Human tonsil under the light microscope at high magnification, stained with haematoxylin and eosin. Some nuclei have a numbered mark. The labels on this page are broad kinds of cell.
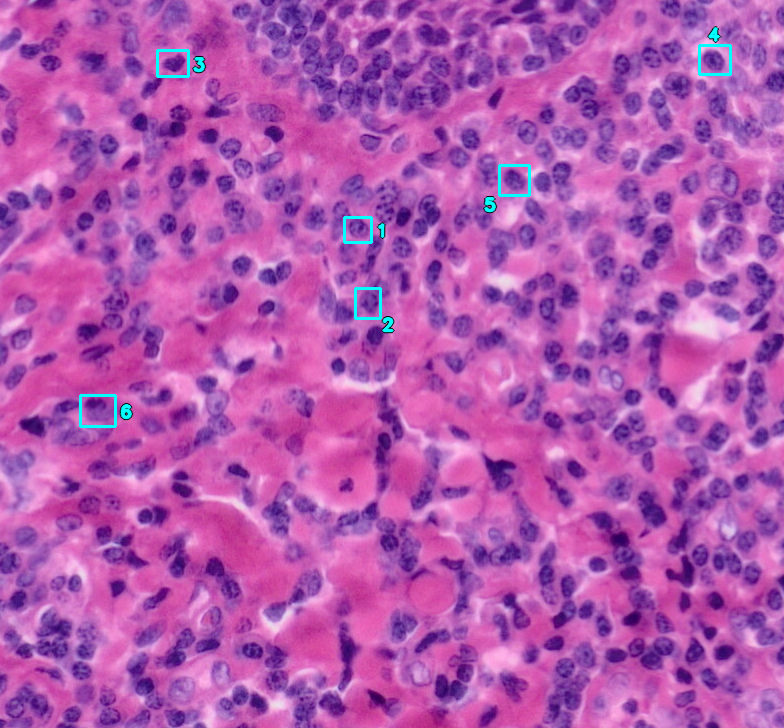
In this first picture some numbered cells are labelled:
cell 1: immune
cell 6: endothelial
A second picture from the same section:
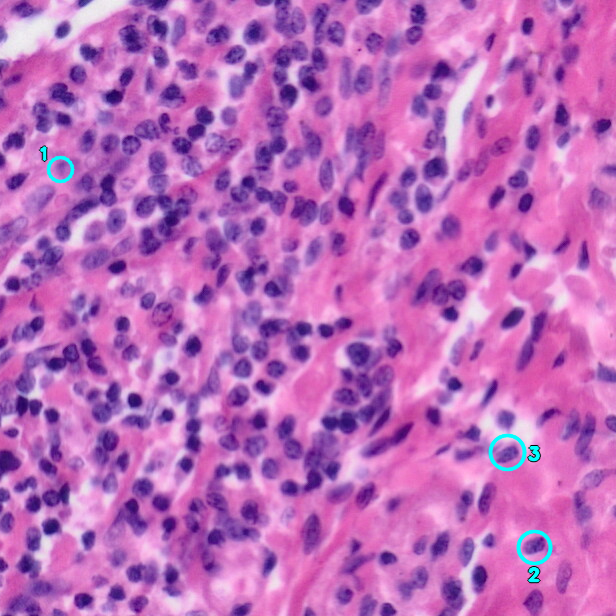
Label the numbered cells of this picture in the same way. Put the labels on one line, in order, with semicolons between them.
endothelial; immune; immune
